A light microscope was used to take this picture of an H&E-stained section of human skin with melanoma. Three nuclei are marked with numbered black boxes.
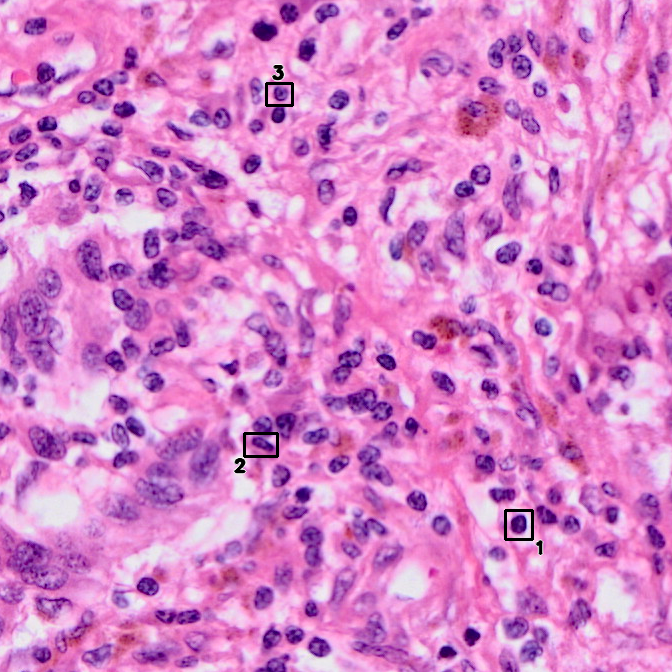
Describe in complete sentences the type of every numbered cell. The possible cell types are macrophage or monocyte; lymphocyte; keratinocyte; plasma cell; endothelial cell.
Cell 1 is a lymphocyte, cell 2 is a plasma cell and cell 3 is a lymphocyte.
